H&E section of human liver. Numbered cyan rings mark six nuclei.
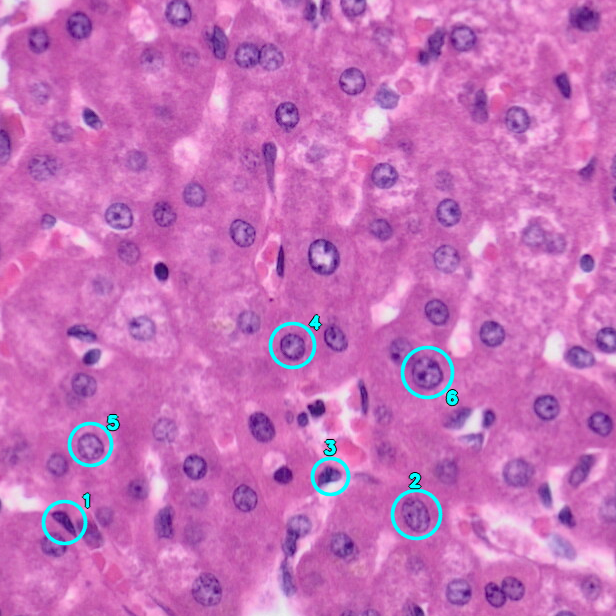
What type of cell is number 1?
fibroblast or stellate cell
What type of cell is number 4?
hepatocyte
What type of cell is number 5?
hepatocyte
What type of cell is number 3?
fibroblast or stellate cell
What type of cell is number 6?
hepatocyte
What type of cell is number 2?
hepatocyte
